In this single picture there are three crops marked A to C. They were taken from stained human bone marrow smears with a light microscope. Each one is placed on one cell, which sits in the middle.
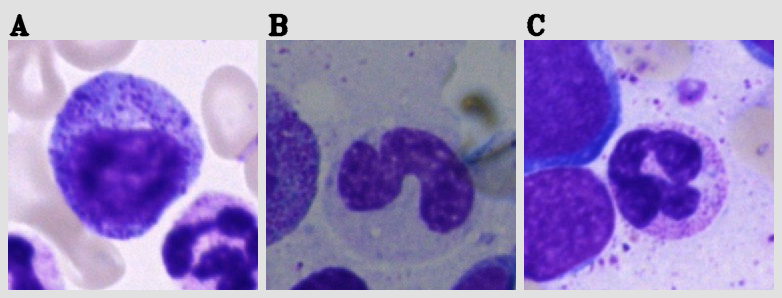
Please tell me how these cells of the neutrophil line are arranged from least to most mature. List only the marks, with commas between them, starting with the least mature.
A, B, C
